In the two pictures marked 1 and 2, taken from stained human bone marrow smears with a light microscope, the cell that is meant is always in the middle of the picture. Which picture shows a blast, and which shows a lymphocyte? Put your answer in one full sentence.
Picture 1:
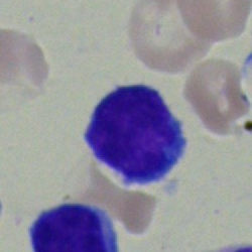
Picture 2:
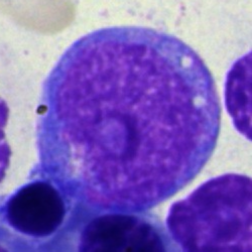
Picture 1 is of a lymphocyte, and picture 2 is of a blast.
